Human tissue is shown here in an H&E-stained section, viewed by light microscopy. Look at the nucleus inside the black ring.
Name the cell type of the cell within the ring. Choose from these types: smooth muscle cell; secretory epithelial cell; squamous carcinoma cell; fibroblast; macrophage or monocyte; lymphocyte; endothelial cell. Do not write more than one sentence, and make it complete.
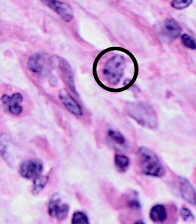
As to its cell type, the cell within the ring is a macrophage or monocyte.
